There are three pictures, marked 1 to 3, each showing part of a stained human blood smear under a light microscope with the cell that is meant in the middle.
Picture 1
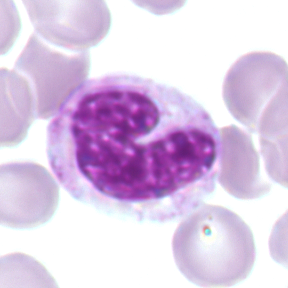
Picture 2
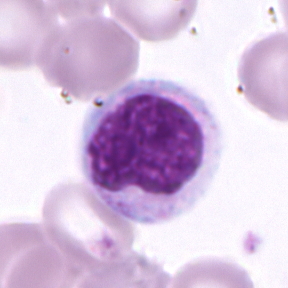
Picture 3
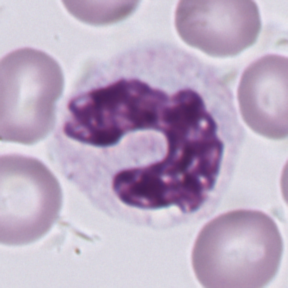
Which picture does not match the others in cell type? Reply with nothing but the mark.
2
